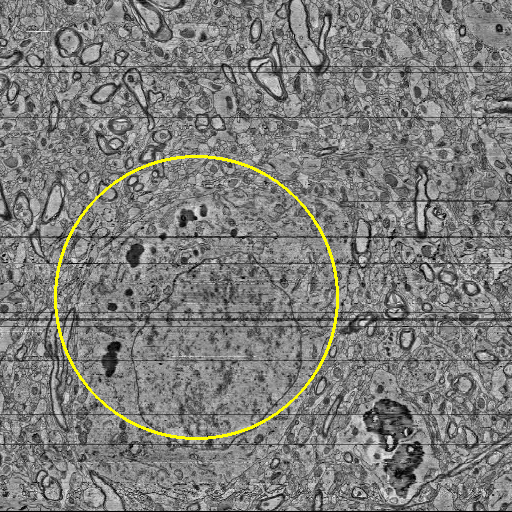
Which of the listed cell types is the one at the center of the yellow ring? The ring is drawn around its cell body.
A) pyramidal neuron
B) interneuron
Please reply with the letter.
A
